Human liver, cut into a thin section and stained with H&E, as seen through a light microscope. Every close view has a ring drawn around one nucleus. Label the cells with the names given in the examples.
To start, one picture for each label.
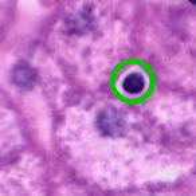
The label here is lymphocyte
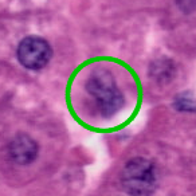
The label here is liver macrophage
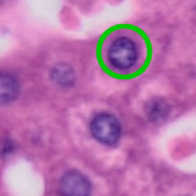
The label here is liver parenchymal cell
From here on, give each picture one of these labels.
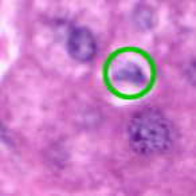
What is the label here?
liver macrophage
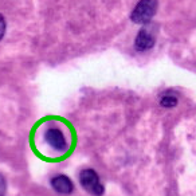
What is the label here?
lymphocyte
